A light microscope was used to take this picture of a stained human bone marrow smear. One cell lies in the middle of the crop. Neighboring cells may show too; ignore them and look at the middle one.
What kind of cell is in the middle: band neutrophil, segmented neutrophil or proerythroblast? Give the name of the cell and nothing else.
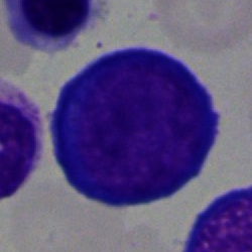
proerythroblast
